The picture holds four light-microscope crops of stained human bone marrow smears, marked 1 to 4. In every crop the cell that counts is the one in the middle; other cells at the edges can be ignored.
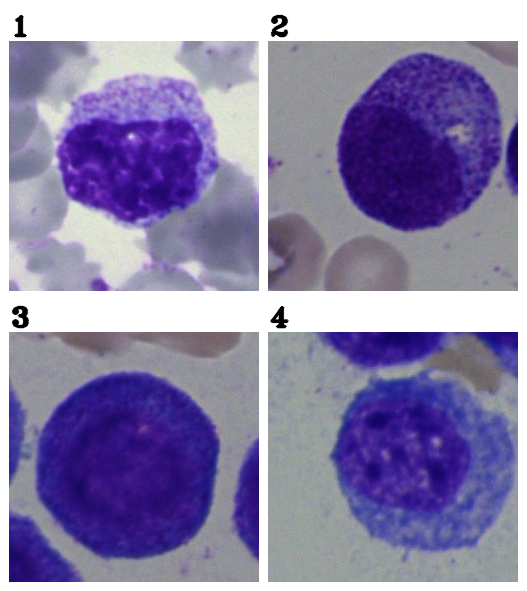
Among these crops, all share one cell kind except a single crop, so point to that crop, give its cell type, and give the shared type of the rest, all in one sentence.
All the crops show promyelocytes, barring crop 1, which is a myelocyte.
